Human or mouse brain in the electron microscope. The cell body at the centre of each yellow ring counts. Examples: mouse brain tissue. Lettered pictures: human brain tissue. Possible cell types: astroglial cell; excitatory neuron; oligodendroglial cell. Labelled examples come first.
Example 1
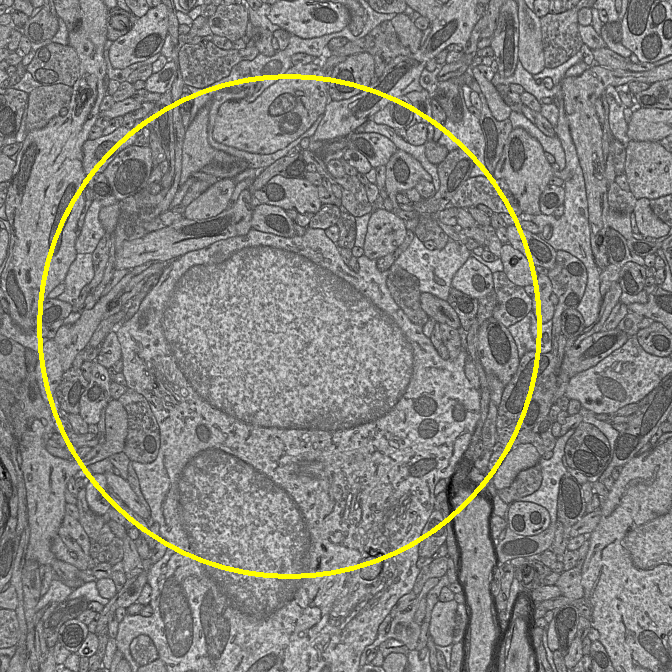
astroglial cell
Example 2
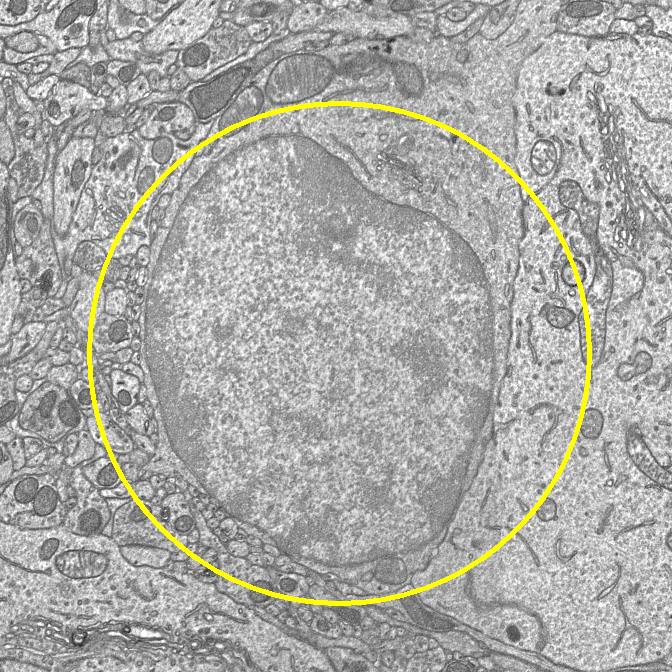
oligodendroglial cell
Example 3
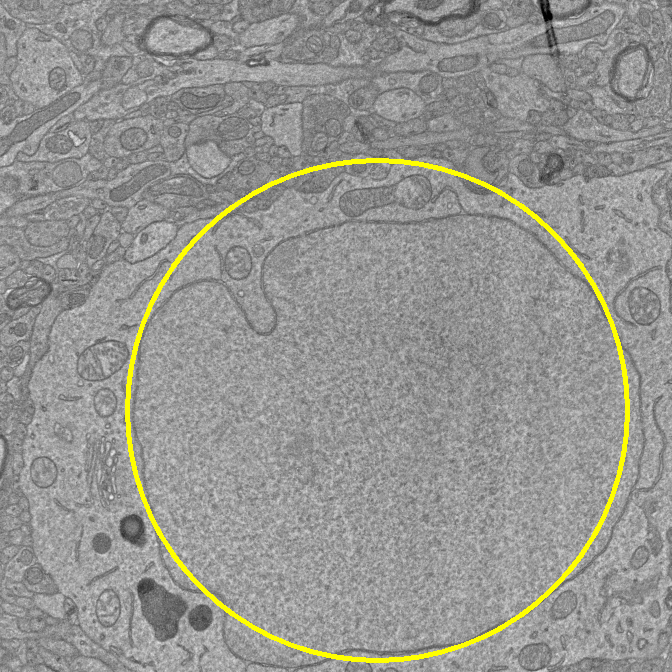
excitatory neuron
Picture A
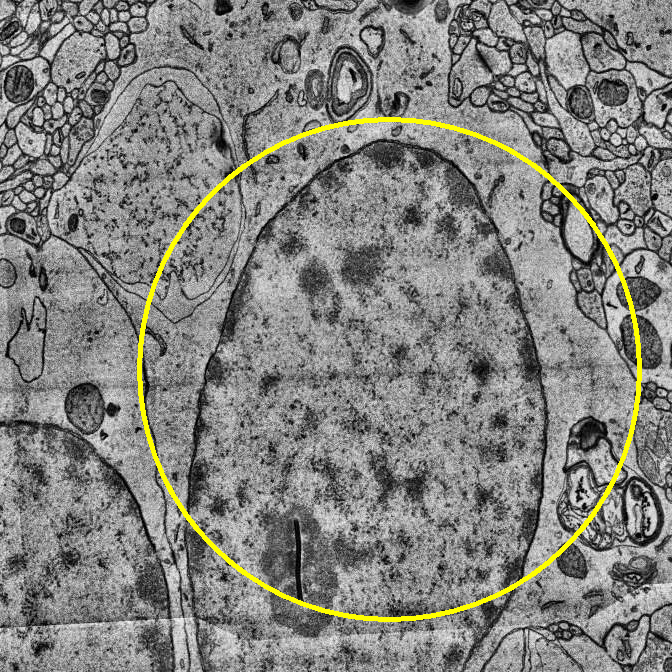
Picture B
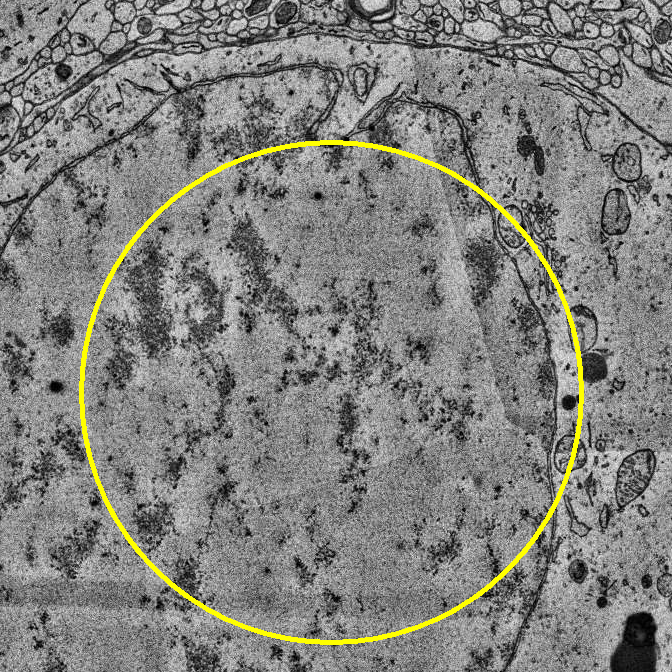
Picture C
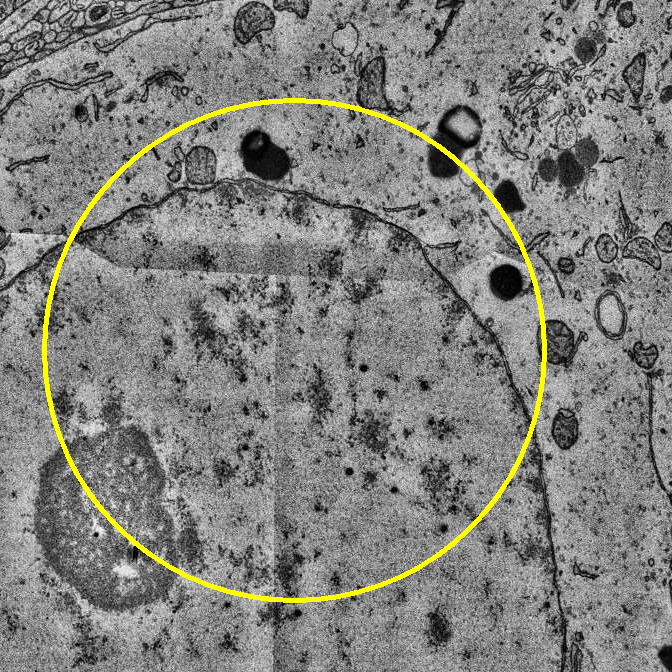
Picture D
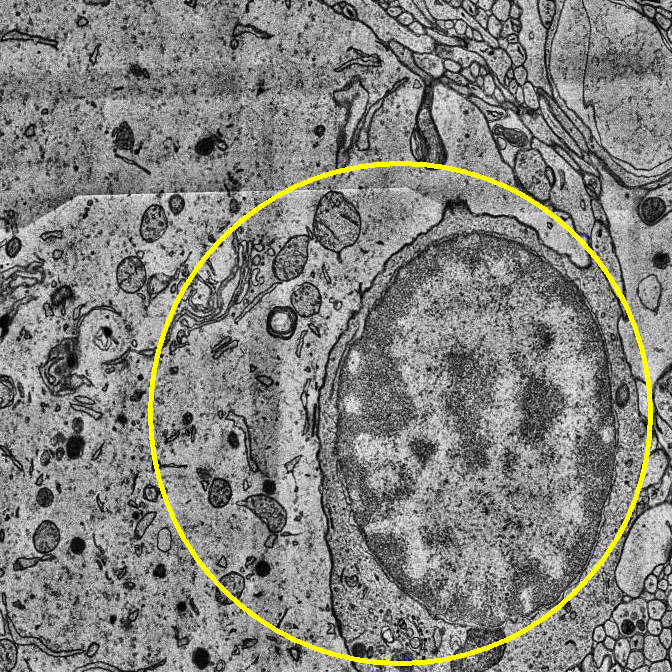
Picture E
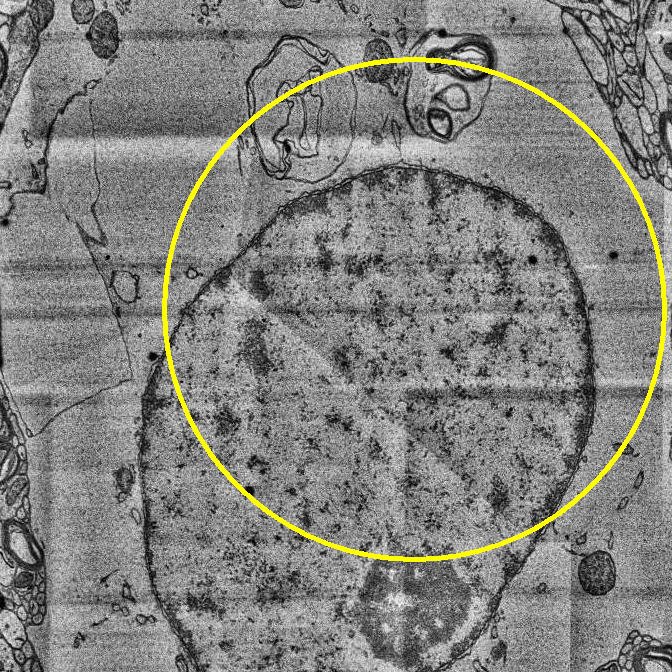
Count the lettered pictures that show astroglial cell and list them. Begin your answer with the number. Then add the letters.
2, namely A, E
